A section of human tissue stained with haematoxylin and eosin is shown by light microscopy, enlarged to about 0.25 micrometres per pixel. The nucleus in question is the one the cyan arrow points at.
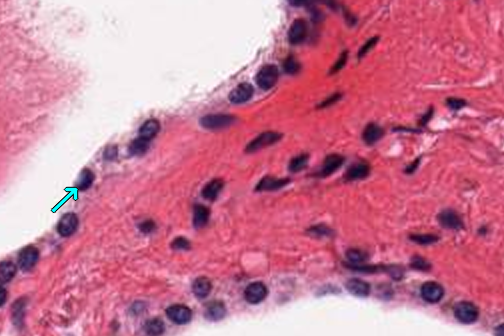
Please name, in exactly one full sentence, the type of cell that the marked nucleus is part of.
Located in a thyroid follicular cell is the marked nucleus.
